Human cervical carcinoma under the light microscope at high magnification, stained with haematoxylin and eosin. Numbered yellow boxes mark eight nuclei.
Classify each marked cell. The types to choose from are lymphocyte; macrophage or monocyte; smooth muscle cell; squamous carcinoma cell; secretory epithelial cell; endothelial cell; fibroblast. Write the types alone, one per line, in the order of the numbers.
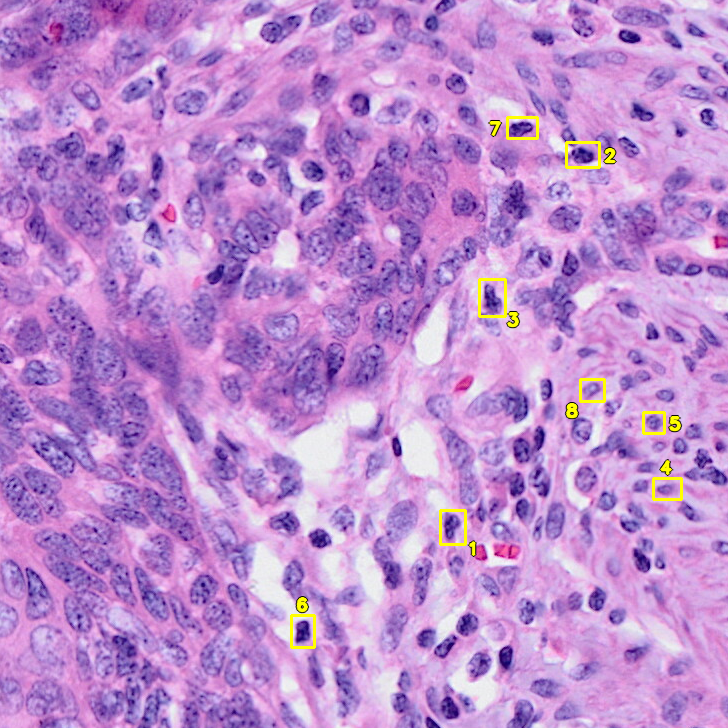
lymphocyte
lymphocyte
lymphocyte
smooth muscle cell
smooth muscle cell
lymphocyte
lymphocyte
smooth muscle cell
